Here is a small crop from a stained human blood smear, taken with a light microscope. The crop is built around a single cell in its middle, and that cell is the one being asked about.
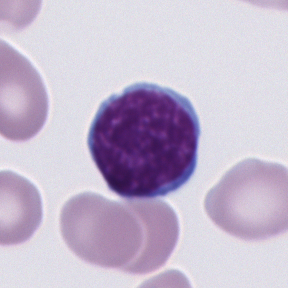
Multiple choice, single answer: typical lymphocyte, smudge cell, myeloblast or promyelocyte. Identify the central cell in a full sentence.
What the crop centres on is a typical lymphocyte.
